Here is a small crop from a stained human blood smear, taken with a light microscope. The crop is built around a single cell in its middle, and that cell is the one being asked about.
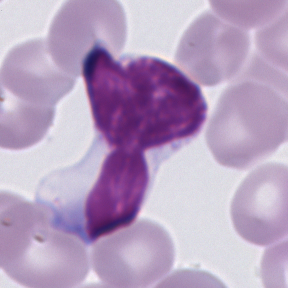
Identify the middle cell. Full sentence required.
Classified as a large granular lymphocyte is the cell in the middle of this crop.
